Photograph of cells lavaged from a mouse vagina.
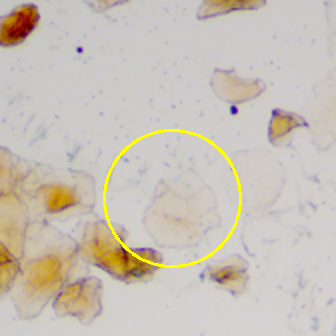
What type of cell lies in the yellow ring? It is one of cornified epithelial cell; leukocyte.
The ringed cell is a cornified epithelial cell.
